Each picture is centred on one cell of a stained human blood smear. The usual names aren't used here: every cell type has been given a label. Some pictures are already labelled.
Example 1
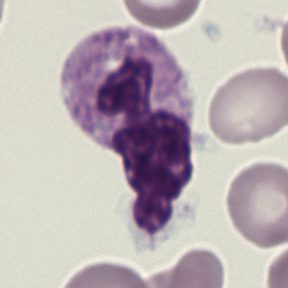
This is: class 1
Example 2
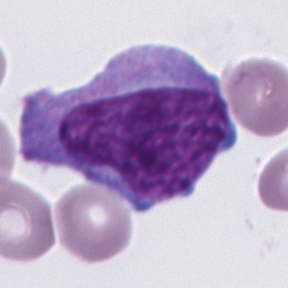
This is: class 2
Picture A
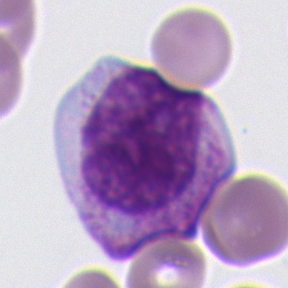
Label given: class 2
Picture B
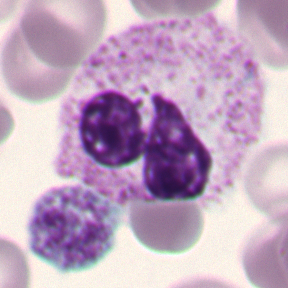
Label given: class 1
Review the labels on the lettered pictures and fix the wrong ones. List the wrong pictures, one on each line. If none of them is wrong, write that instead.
Every label is right.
